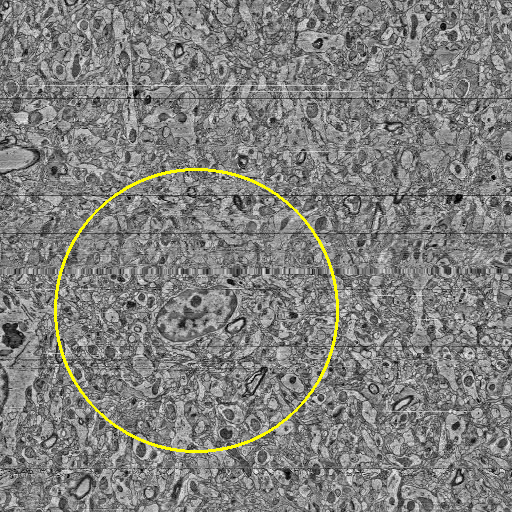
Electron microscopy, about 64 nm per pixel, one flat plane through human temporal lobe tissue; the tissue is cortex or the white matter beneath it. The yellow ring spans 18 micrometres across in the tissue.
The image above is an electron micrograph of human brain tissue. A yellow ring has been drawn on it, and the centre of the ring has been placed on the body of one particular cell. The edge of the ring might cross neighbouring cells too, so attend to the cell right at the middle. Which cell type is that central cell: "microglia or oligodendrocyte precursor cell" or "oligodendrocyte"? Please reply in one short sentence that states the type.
The central cell in the ring is a microglial cell or oligodendrocyte precursor cell.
